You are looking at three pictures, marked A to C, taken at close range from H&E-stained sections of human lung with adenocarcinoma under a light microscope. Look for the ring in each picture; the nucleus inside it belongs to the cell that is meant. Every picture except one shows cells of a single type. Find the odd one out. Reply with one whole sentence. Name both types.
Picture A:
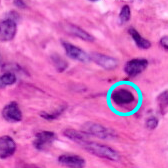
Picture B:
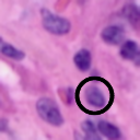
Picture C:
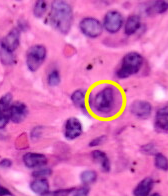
Picture B differs, because its cell is a lymphocyte and the rest are plasma cells.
